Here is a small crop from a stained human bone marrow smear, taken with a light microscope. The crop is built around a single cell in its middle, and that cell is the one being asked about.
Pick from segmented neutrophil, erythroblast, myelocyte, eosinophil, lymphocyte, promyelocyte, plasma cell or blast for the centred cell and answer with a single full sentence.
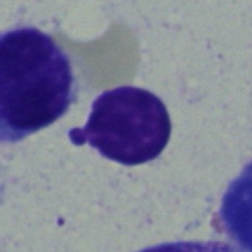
Seen at the centre of the crop is a lymphocyte.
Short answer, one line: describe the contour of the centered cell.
In outline, the cell is irregular, ragged in stretches or drawn into projections.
